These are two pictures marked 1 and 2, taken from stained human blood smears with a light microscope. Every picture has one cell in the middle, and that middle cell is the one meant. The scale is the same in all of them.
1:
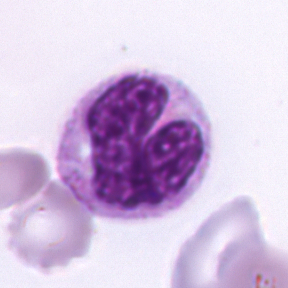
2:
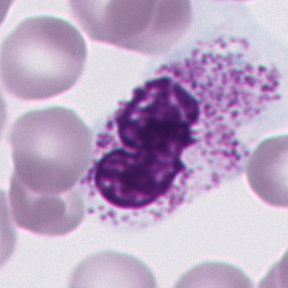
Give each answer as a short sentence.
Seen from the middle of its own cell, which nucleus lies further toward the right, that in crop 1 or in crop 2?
In crop 1 the nucleus is shifted more toward the right.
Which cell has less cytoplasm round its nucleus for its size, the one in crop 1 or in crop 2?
It is the cell in crop 1 that is filled more by its nucleus.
